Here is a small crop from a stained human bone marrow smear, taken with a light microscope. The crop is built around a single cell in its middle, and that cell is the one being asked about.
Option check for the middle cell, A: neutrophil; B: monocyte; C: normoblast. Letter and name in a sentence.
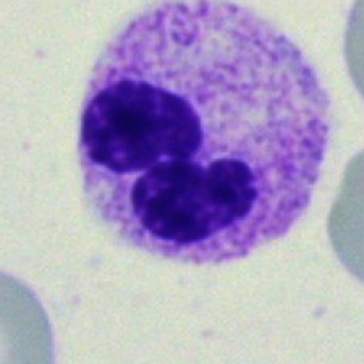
Option A is the correct option, with the middle cell being a neutrophil.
